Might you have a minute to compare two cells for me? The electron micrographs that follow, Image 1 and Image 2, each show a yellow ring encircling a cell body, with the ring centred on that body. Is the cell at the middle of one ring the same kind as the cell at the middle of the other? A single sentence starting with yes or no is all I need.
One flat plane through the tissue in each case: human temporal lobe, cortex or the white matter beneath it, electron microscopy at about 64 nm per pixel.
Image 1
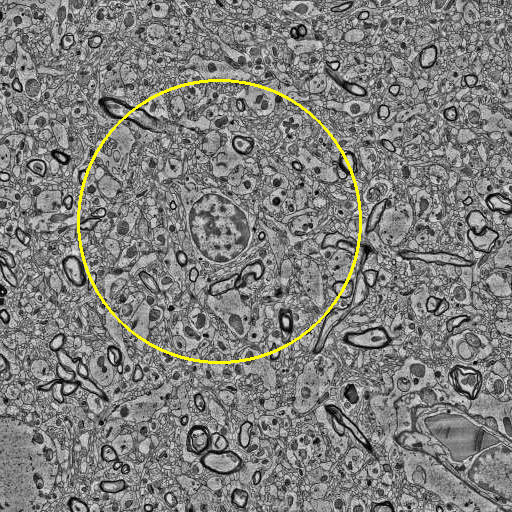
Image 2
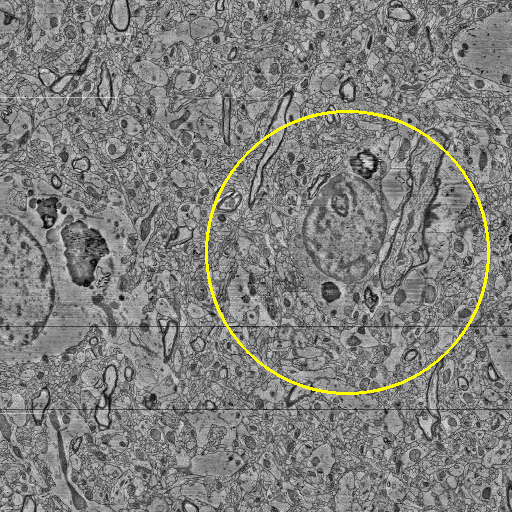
No, the cells in the middle of the two rings are of two separate kinds.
